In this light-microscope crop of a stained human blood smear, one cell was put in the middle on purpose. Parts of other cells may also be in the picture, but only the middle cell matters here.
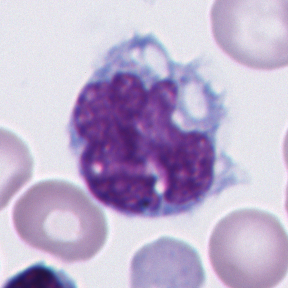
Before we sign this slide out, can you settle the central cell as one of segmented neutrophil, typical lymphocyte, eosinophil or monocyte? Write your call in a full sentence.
In this smear crop, the middle cell is a monocyte.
